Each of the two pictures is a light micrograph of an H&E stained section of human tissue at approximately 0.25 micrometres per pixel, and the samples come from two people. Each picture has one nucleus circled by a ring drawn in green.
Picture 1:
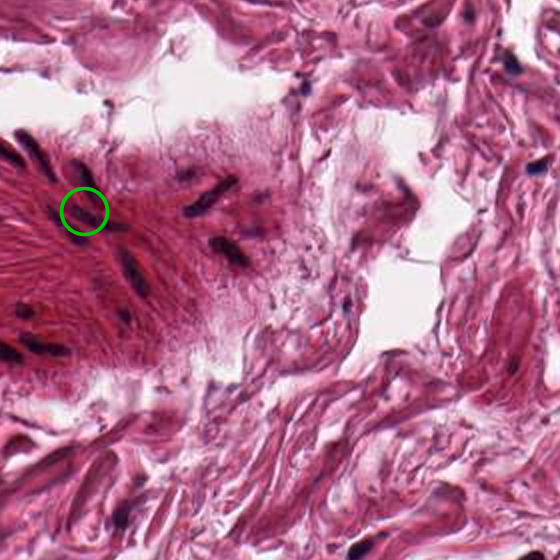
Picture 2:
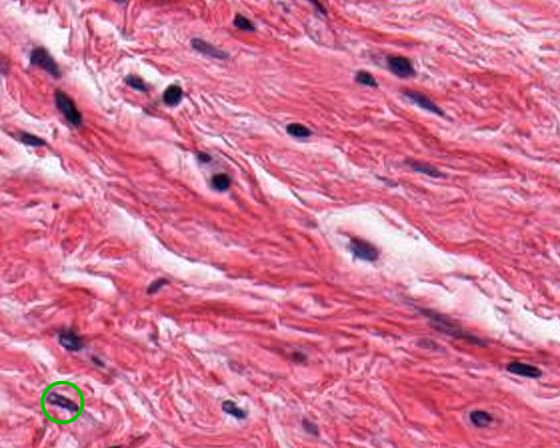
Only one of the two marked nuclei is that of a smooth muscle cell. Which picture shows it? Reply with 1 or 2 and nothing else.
1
